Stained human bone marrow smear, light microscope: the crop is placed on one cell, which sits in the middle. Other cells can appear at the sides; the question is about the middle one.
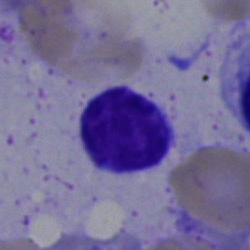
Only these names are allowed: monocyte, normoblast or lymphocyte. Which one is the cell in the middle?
lymphocyte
